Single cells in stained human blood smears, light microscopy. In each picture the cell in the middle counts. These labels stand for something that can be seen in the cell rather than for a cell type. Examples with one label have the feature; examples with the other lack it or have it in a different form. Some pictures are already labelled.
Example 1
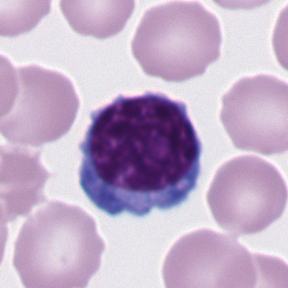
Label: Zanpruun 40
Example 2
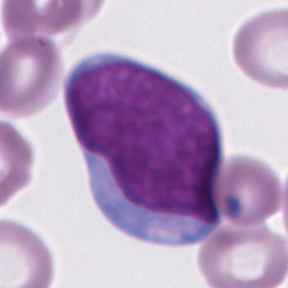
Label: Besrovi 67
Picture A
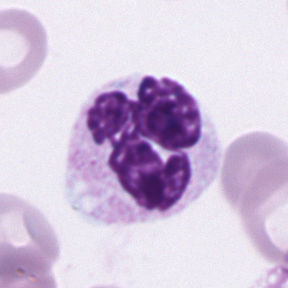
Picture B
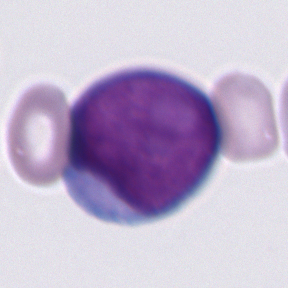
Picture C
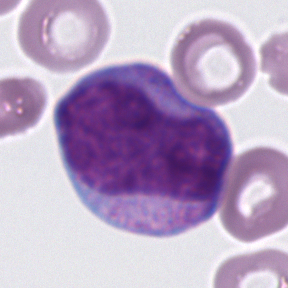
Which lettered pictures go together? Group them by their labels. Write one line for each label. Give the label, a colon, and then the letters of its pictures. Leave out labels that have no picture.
Besrovi 67: A, B, C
